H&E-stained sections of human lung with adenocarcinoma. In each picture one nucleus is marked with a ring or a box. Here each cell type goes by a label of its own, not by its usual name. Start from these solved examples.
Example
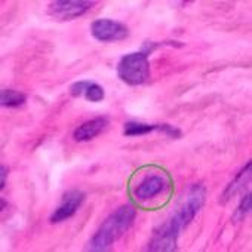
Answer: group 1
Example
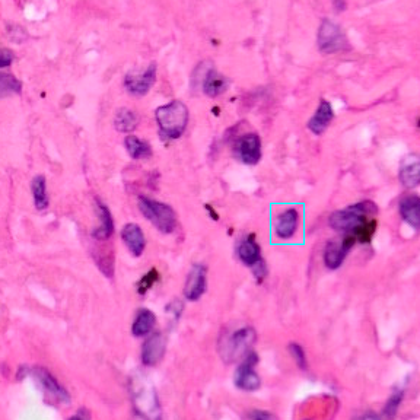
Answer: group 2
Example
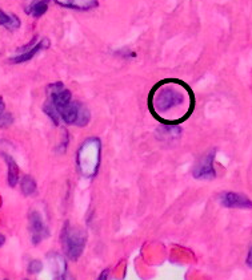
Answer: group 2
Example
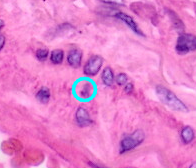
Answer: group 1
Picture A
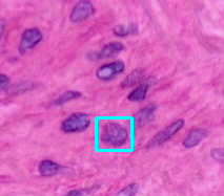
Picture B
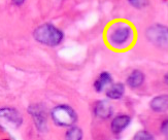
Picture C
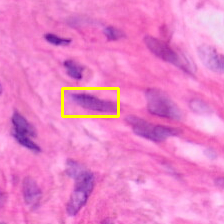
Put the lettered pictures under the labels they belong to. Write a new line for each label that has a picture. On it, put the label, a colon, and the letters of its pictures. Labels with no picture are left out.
group 1: A, C
group 2: B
